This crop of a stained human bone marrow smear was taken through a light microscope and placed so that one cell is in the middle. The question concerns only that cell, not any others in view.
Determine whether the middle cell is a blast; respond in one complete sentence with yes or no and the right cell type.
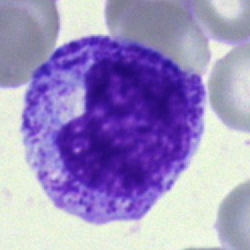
No, the central cell qualifies as a myelocyte rather than as a blast.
